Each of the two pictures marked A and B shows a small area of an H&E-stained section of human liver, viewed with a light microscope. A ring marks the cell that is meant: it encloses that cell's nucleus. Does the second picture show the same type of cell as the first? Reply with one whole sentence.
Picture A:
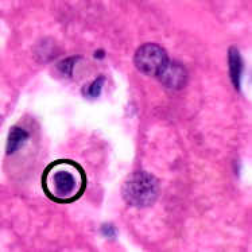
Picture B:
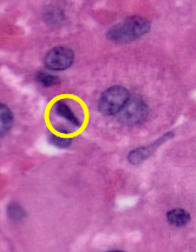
No, the types are not the same, since picture A shows a lymphocyte and picture B a “fibroblast or stellate cell”.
